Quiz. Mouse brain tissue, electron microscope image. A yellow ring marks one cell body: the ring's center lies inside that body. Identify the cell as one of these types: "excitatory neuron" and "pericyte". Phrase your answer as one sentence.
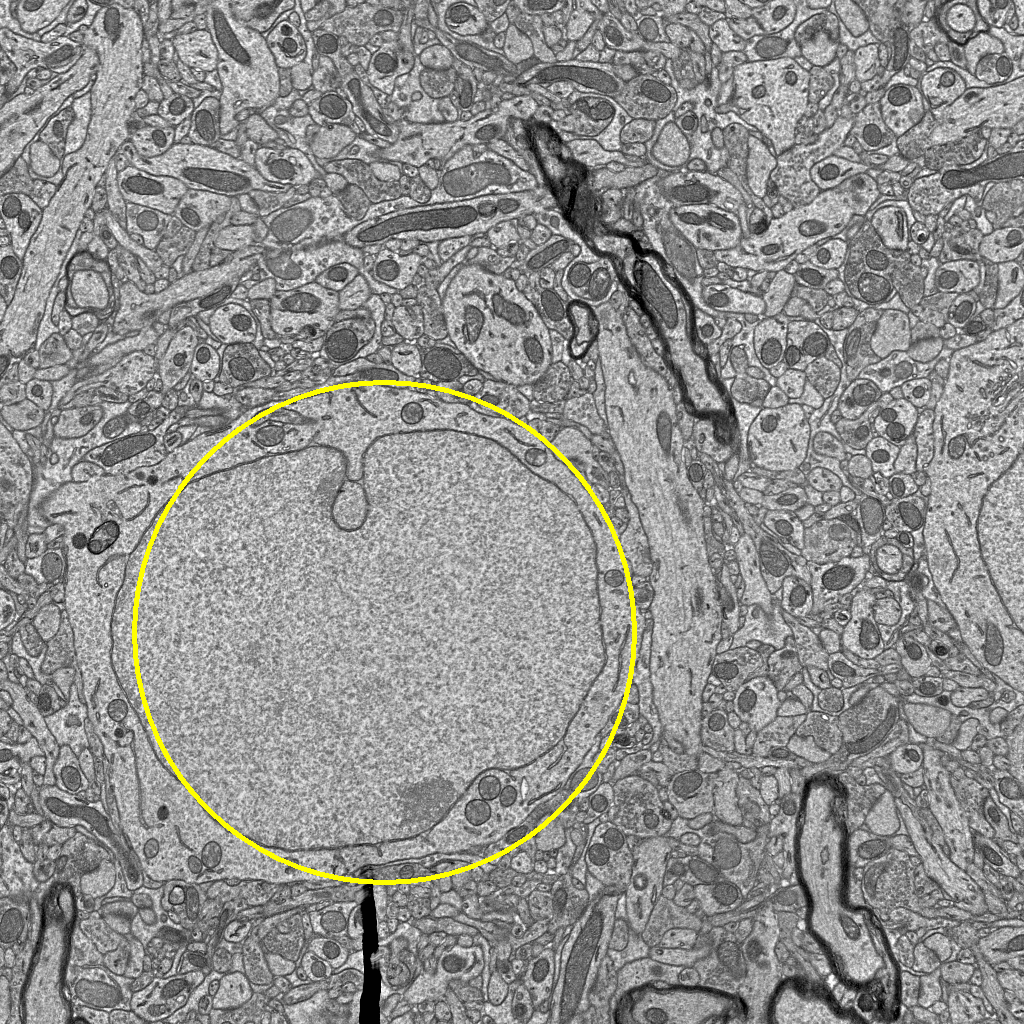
At the center of the ring sits an excitatory neuron.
